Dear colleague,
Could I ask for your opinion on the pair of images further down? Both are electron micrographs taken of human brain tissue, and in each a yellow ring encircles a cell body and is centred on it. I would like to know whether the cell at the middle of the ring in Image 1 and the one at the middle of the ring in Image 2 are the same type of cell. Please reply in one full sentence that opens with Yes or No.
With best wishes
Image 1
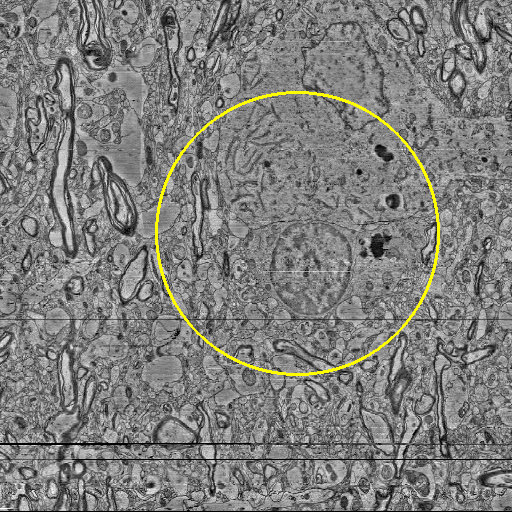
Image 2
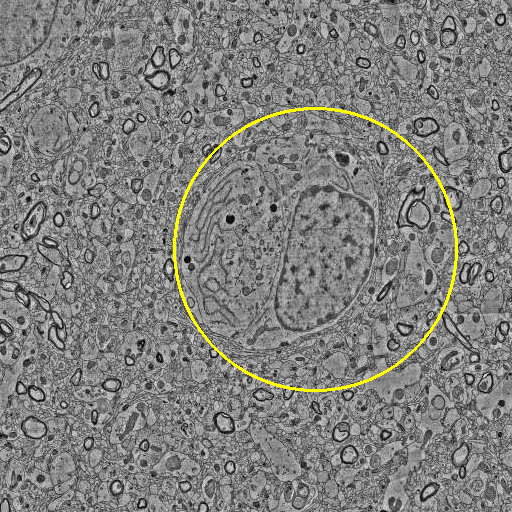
No, the cells at the ring centres in Image 1 and Image 2 are of two types.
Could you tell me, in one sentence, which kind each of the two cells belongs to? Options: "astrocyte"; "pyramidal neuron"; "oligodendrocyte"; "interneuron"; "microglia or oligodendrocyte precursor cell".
At the centre of the first ring sits an oligodendrocyte, and at the centre of the second sits a microglial cell or oligodendrocyte precursor cell.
